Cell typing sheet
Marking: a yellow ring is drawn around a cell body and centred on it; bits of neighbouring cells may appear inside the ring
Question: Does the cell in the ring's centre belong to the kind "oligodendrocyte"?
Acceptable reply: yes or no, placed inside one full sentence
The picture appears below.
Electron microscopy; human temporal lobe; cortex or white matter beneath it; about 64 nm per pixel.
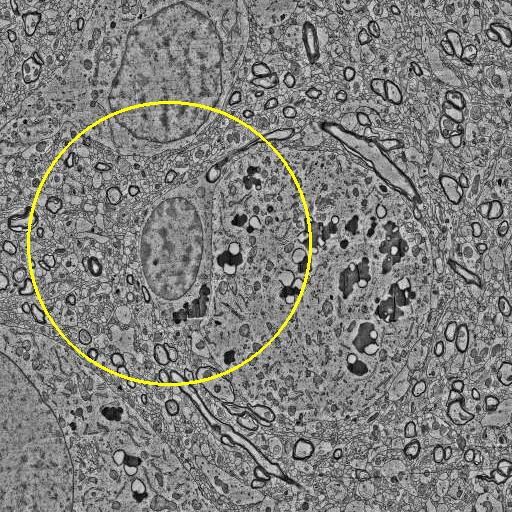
Yes, the cell in the centre of the ring is of the kind asked about.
